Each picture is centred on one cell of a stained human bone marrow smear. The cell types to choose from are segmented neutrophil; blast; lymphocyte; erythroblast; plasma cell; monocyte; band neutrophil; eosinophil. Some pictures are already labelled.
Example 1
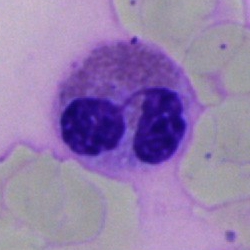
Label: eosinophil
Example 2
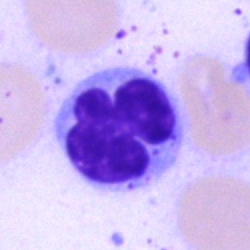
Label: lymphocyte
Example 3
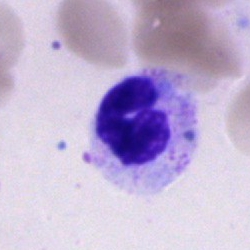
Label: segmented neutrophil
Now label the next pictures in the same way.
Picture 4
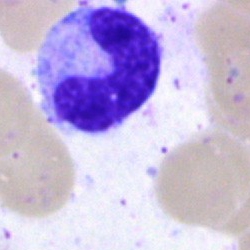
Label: band neutrophil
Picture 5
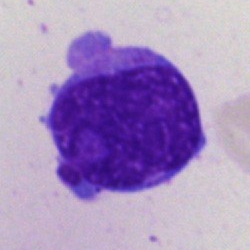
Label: blast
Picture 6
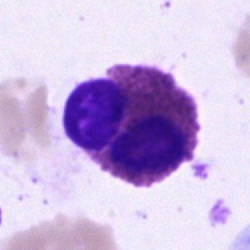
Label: eosinophil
